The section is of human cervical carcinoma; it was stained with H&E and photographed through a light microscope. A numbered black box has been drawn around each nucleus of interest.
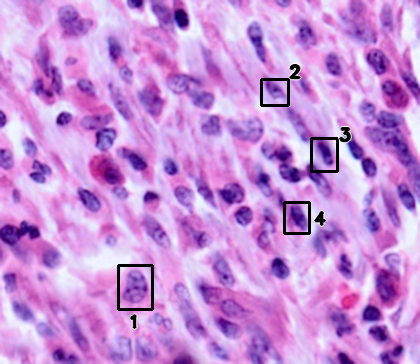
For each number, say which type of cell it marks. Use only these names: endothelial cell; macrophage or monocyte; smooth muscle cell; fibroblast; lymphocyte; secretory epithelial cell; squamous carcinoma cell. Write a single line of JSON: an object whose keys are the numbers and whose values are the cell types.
{"1": "macrophage or monocyte", "2": "fibroblast", "3": "lymphocyte", "4": "lymphocyte"}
